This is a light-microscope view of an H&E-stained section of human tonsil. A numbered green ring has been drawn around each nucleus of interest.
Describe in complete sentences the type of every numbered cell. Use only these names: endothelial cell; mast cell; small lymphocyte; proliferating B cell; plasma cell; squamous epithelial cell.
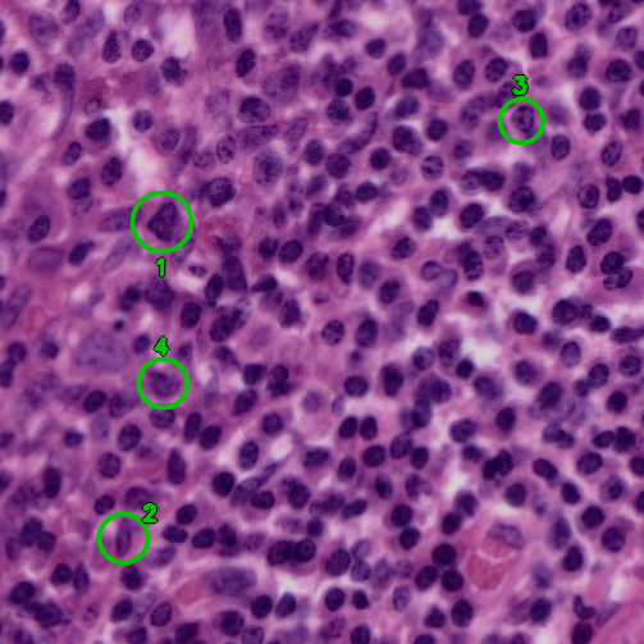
Cell 1 is a squamous epithelial cell, cell 2 is a squamous epithelial cell, cell 3 is a plasma cell and cell 4 is a squamous epithelial cell.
